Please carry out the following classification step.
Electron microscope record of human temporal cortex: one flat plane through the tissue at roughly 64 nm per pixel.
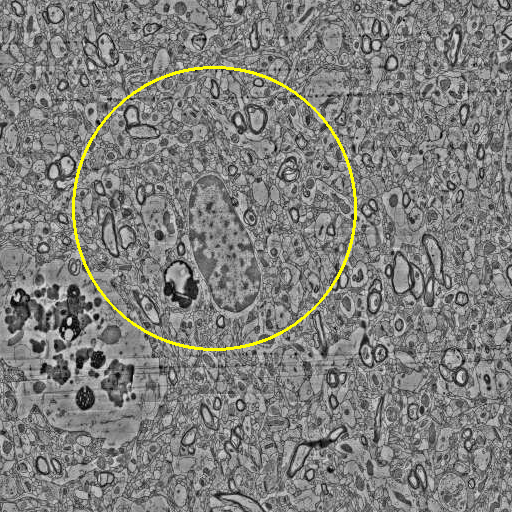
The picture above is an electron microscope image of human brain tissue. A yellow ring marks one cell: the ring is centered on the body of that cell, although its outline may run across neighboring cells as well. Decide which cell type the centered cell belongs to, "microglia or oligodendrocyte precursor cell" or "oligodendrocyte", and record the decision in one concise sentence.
The cell centered in the yellow ring is a microglial cell or oligodendrocyte precursor cell.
